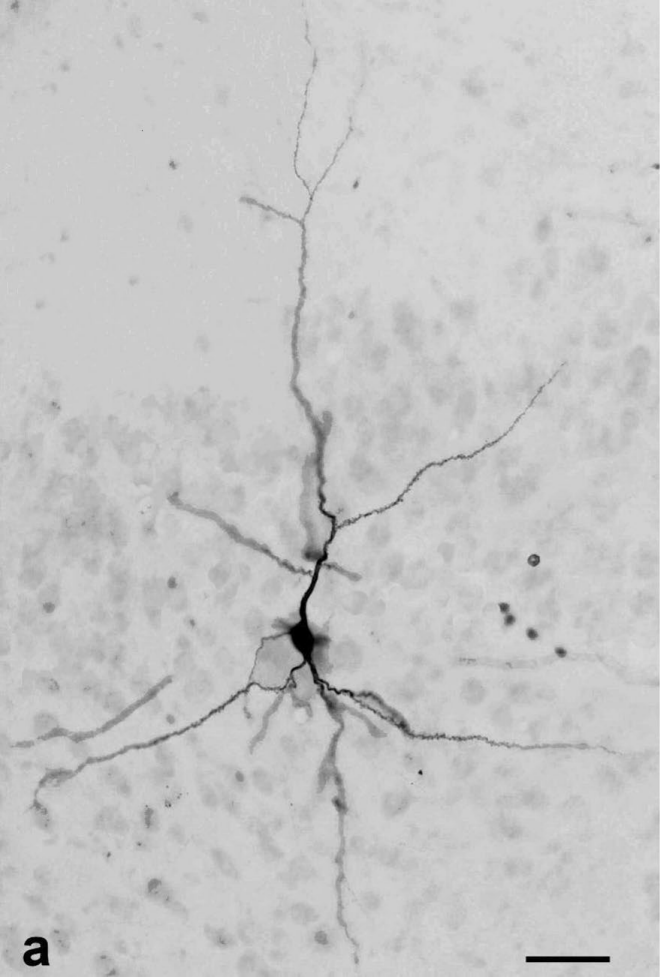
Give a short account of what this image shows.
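A single superficial pyramidal cell is filled with dark reaction product against a pale, lightly stained background of unlabelled cell bodies. The cell body is compact and roughly triangular. From its apex a thick apical dendrite rises toward the top of the field, branching into several thinner, spiny-looking dendrites that spread upward and sideways. From the lower part of the cell body several basal dendrites radiate downward and laterally, tapering as they extend. The upper part of the field is paler and nearly cell-free, while the lower part holds many faint, rounded cell bodies among which the filled cell sits.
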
